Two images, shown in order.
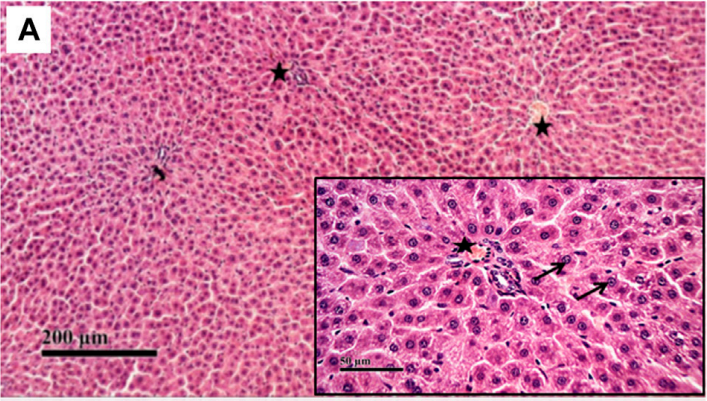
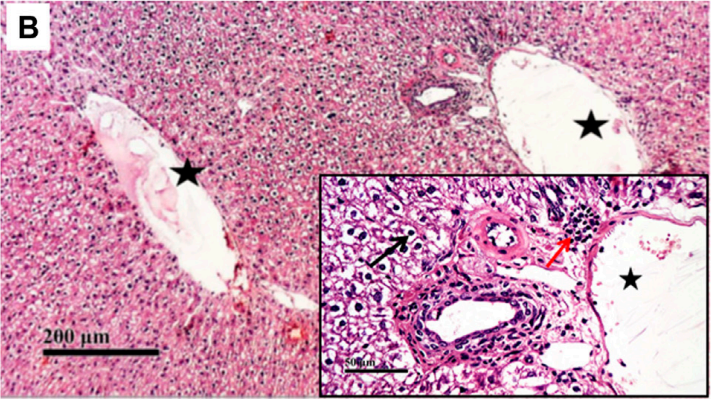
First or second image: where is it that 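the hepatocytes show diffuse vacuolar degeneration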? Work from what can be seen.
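Second image: Hepatocytes have pale, clear, vacuolated cytoplasm throughout. First image: Hepatocytes have evenly pink cytoplasm in orderly radiating plates.
Answer: the second image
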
